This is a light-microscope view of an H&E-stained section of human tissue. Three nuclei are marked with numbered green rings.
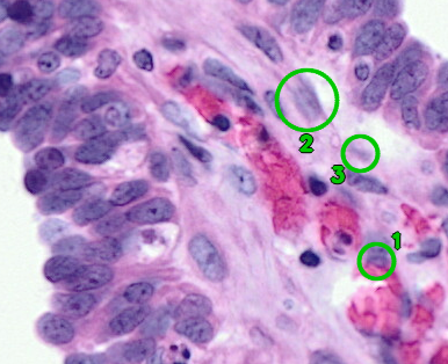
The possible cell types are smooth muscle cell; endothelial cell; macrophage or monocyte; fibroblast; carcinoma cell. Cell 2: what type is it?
fibroblast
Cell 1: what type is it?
endothelial cell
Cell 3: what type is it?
fibroblast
